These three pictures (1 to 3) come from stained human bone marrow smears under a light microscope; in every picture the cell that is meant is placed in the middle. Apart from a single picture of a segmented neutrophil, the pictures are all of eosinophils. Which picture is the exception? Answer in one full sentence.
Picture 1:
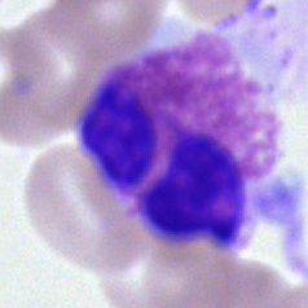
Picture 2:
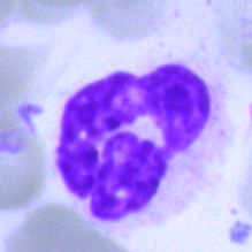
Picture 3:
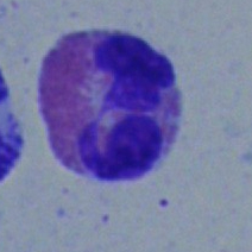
Picture 2 shows the segmented neutrophil.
